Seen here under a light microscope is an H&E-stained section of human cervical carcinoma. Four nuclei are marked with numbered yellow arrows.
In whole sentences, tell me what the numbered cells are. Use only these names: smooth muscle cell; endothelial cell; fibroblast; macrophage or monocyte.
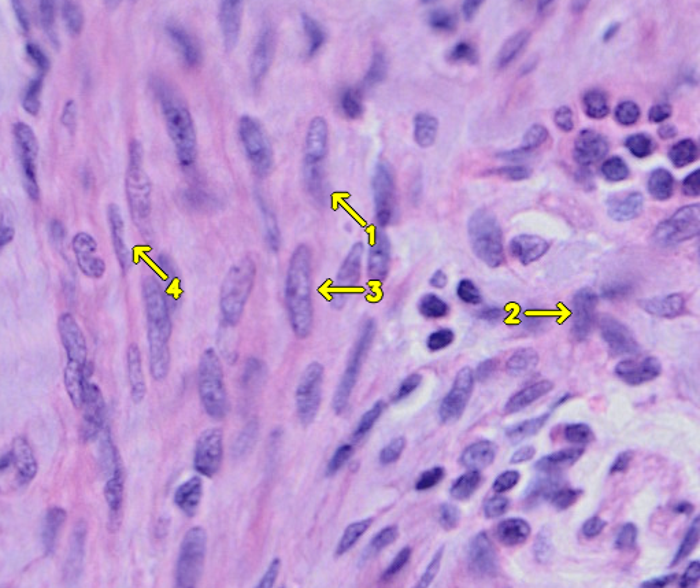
Cells 1, 3 and 4 are smooth muscle cells. Cell 2 is a fibroblast.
